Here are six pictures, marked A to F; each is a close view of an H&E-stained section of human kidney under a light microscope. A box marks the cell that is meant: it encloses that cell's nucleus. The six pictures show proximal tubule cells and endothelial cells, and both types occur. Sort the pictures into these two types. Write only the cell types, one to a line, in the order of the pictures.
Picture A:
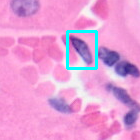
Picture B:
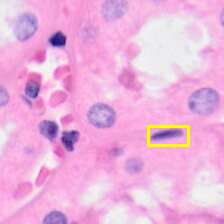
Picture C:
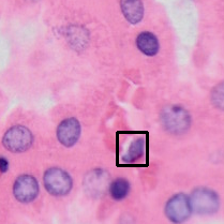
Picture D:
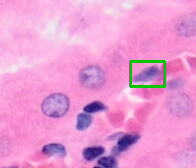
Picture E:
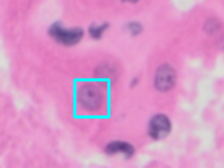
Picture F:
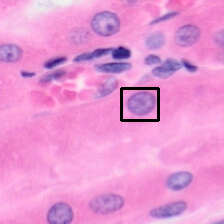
endothelial cell
endothelial cell
endothelial cell
endothelial cell
proximal tubule cell
proximal tubule cell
